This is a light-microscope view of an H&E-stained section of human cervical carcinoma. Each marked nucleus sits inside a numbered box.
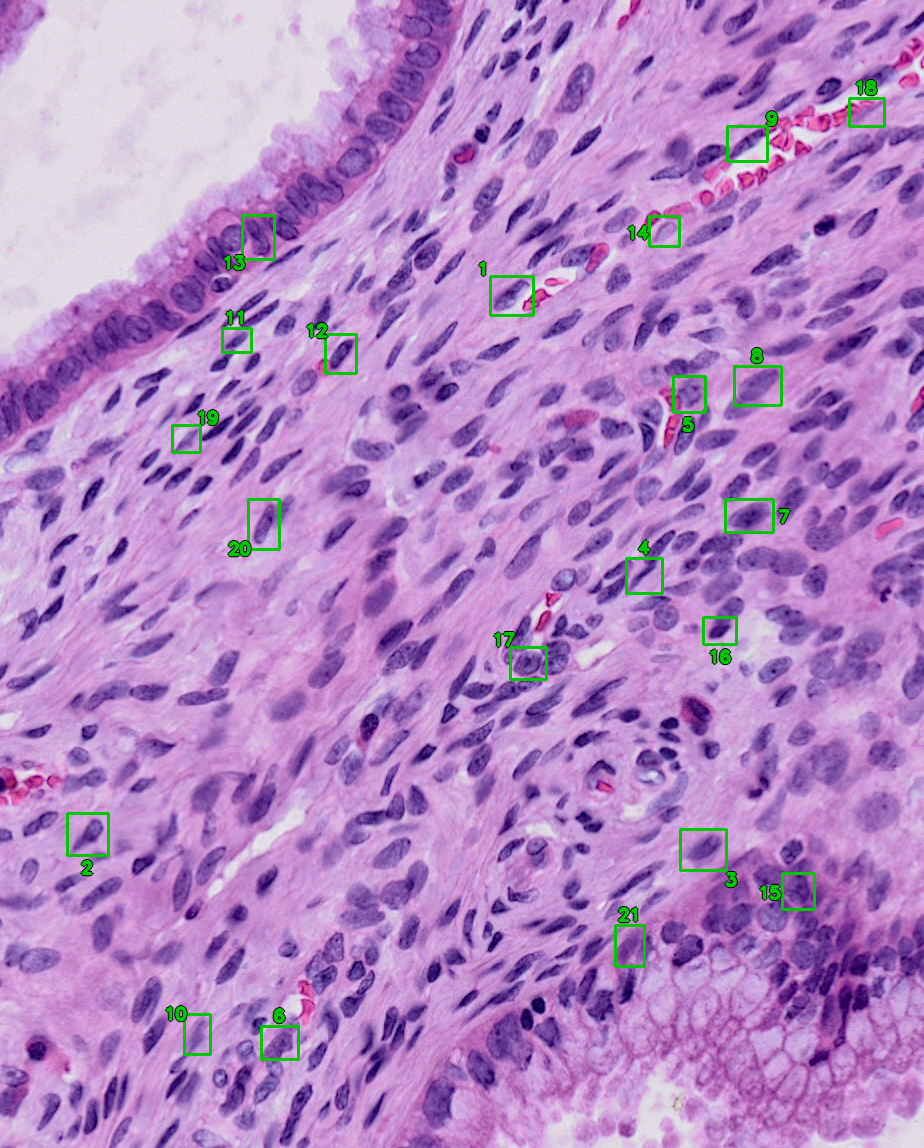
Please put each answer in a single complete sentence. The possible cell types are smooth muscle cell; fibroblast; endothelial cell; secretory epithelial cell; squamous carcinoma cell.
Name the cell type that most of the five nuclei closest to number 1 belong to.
Of the five nuclei nearest to number 1, most belong to fibroblasts.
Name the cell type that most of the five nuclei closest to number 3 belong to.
Of the five nuclei nearest to number 3, most belong to secretory epithelial cells.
